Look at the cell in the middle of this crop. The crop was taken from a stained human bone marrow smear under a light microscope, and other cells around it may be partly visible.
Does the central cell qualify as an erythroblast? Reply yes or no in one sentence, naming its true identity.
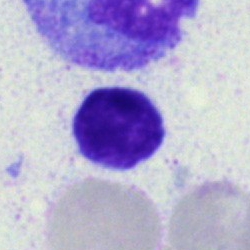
No, not an erythroblast here; the centered cell is a lymphocyte.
